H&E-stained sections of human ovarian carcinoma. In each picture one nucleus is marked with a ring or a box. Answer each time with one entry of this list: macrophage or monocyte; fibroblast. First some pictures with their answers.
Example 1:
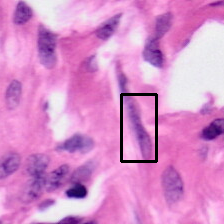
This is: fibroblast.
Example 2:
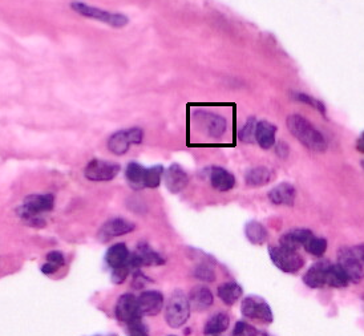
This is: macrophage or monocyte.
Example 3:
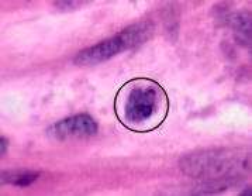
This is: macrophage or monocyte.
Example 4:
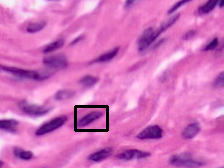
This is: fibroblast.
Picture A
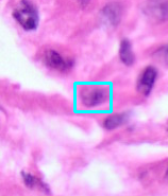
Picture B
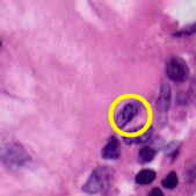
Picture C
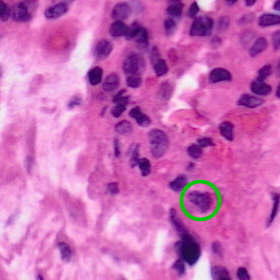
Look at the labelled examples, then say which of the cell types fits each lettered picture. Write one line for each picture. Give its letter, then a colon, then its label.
A: fibroblast.
B: macrophage or monocyte.
C: macrophage or monocyte.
